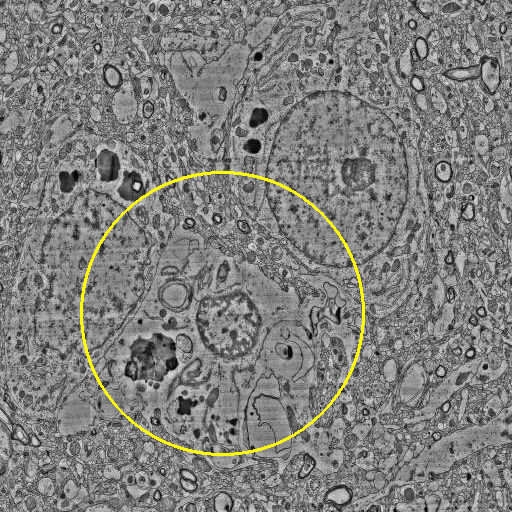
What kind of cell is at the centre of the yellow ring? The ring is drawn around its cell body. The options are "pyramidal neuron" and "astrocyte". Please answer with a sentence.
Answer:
The yellow ring marks the cell body of an astrocyte.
